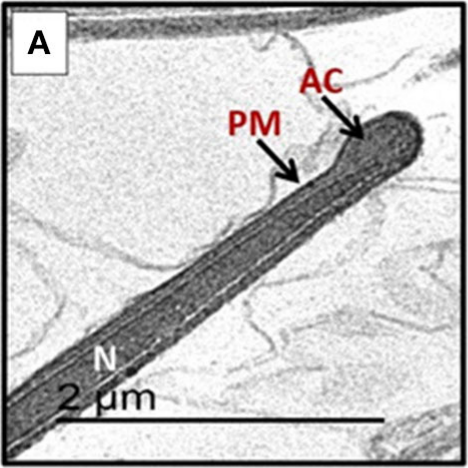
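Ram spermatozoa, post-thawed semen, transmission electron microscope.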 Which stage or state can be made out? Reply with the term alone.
Homogenous condensed chromatin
